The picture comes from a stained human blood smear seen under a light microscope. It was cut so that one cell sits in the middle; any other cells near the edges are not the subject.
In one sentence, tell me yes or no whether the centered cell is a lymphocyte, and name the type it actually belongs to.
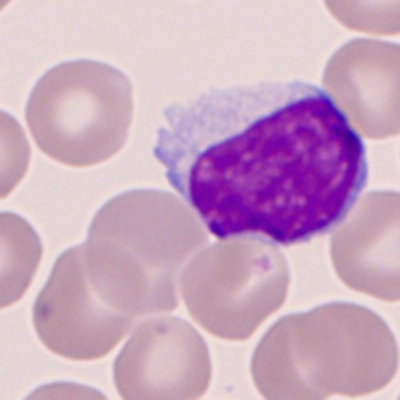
Yes, the cell that lies centrally is a lymphocyte.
